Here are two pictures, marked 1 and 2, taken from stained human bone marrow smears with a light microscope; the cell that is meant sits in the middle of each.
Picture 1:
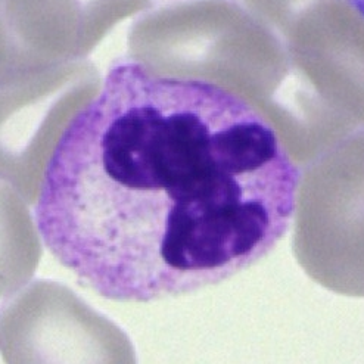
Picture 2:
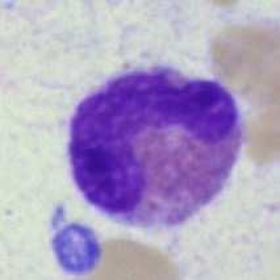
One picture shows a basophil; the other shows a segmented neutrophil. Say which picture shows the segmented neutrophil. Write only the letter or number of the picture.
1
